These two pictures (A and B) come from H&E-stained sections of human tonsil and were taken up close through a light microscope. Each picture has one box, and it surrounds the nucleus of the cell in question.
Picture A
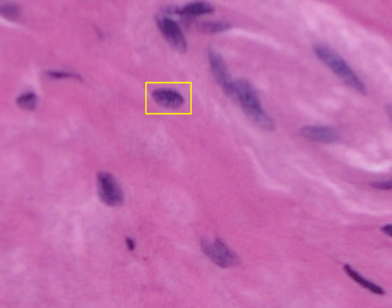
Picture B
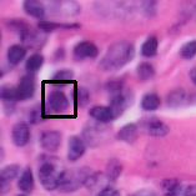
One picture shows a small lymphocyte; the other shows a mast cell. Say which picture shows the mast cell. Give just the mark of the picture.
A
